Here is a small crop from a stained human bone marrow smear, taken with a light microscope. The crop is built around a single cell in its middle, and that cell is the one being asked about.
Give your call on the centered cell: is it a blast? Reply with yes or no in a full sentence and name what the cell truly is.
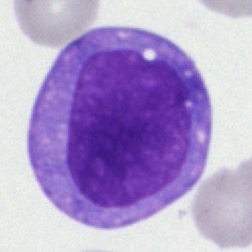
Yes, the cell under consideration, the one in the middle, is a blast.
